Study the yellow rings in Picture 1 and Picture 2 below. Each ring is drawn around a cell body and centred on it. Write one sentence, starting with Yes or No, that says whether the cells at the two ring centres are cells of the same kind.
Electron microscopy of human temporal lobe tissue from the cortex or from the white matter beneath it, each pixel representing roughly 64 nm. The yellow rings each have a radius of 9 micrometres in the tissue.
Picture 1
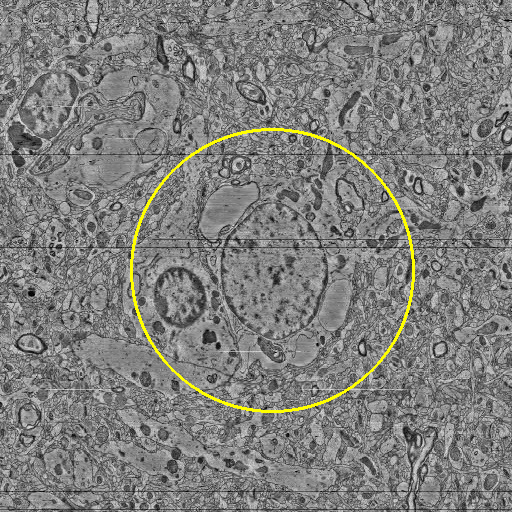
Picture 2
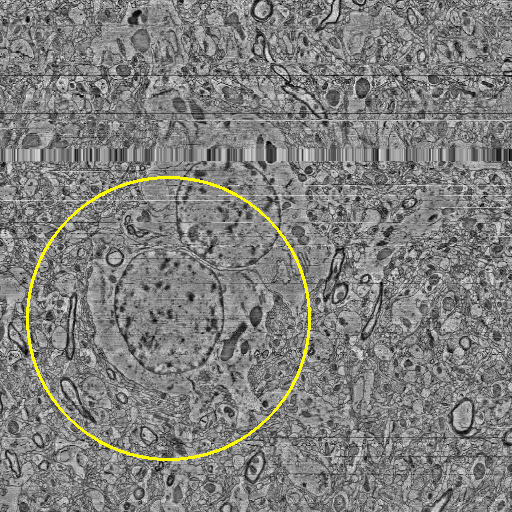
Yes, the cells at both ring centres are of the same kind.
